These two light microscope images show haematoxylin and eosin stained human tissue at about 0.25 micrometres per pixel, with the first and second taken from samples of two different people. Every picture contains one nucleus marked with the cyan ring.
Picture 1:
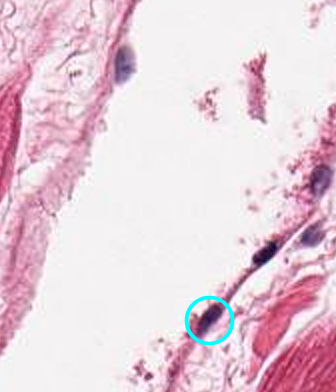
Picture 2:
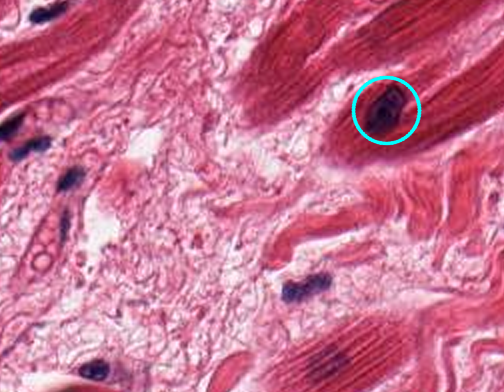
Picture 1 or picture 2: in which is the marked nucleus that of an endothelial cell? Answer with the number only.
1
